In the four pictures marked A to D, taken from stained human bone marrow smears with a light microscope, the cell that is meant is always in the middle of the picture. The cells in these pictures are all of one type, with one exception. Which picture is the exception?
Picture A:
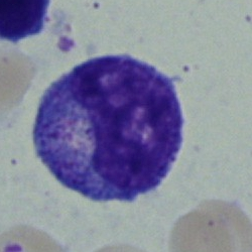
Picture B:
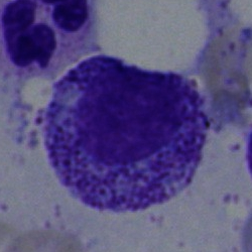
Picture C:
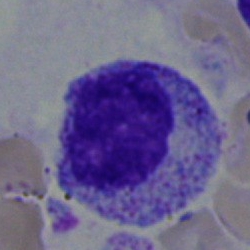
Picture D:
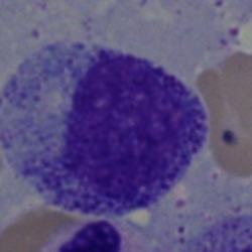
D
